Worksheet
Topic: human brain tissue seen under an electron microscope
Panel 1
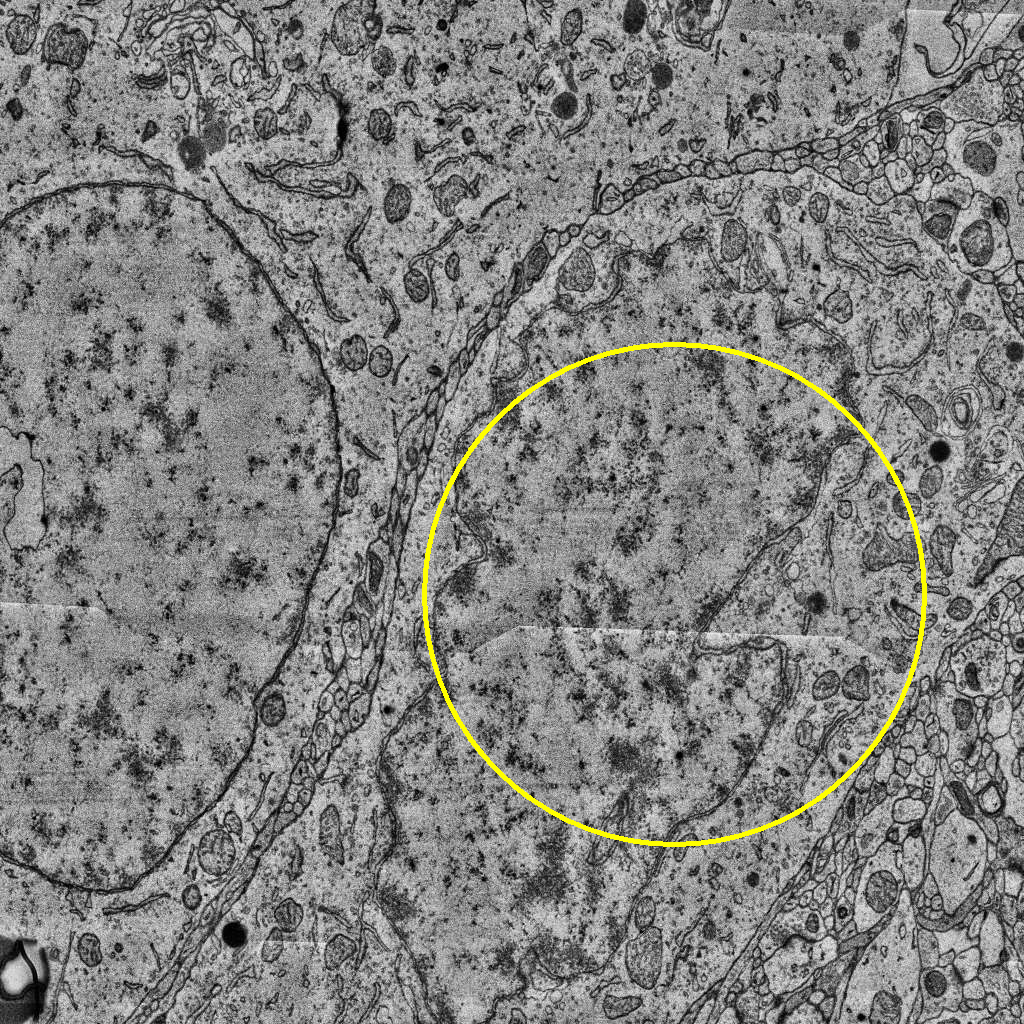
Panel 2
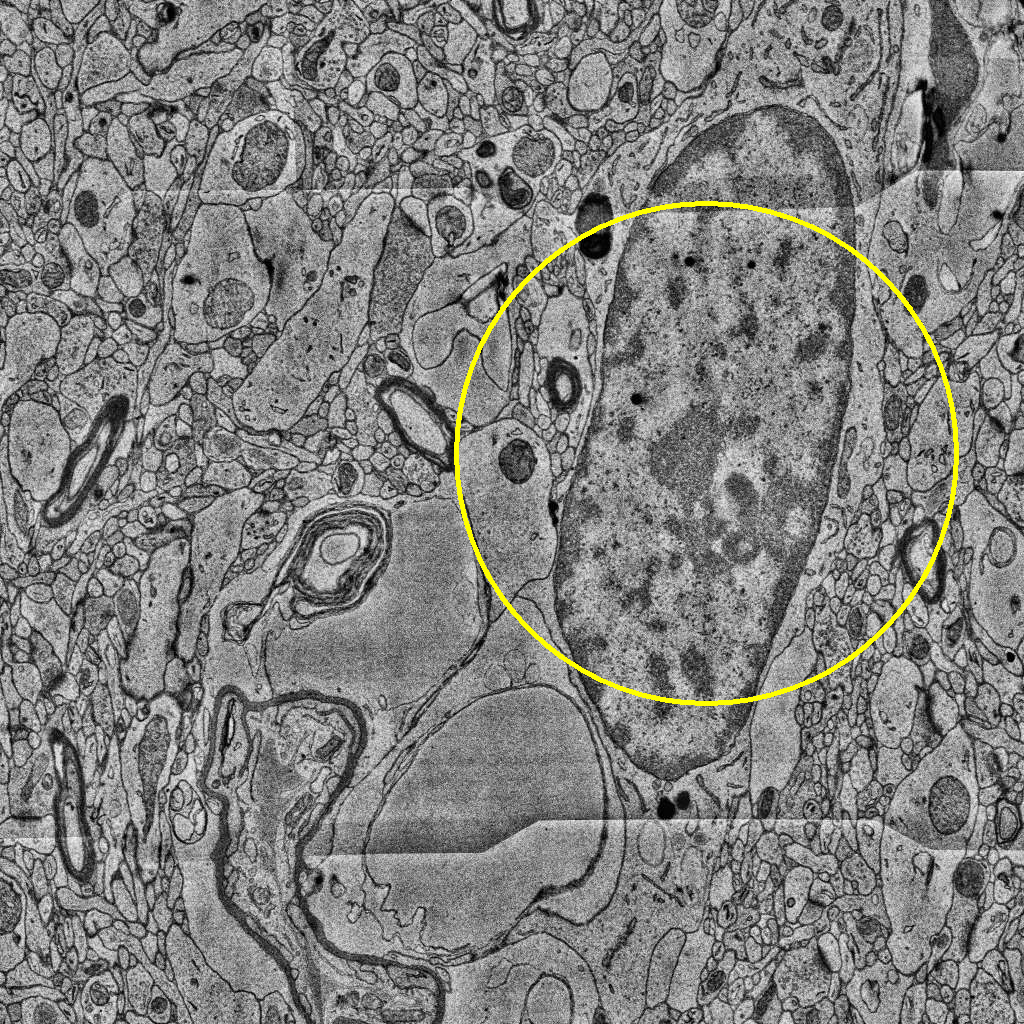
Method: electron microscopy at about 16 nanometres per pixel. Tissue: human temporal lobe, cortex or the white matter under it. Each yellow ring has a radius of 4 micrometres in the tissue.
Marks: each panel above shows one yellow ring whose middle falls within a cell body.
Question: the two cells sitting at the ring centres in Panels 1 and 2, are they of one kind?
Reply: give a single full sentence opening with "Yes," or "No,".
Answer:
No, the two cells at the ring centres in Panel 1 and Panel 2 are of two kinds.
